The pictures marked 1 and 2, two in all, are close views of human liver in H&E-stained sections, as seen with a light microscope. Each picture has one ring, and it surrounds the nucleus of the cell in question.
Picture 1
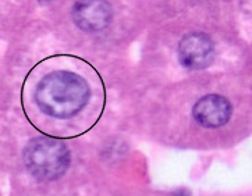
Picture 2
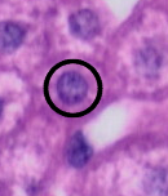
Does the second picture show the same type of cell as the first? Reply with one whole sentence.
Yes; the cells in both pictures are hepatocytes.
